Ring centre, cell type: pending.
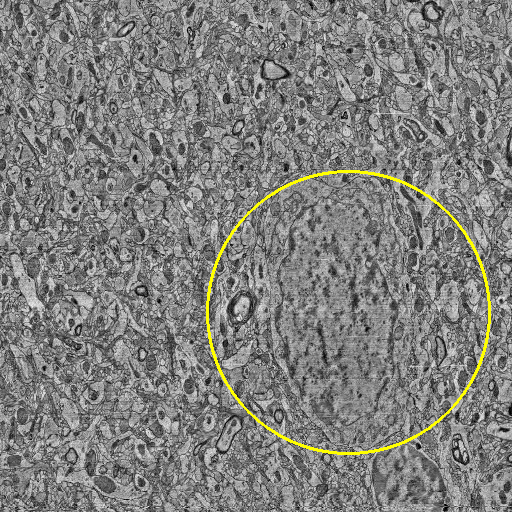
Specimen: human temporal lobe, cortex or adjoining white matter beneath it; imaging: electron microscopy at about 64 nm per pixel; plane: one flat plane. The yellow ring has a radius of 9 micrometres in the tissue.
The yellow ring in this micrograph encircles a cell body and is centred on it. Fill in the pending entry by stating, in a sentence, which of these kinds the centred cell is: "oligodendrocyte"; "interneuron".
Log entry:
The centred cell is recorded as an interneuron.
